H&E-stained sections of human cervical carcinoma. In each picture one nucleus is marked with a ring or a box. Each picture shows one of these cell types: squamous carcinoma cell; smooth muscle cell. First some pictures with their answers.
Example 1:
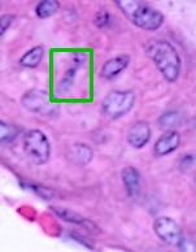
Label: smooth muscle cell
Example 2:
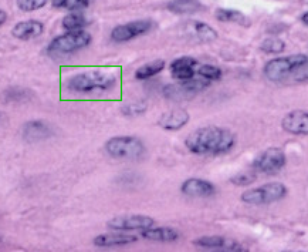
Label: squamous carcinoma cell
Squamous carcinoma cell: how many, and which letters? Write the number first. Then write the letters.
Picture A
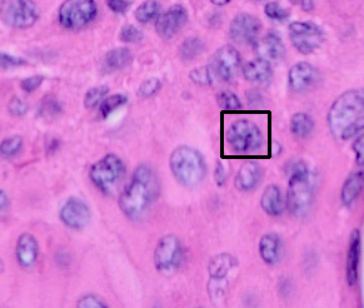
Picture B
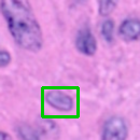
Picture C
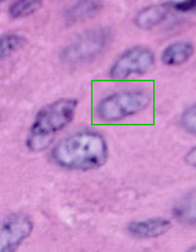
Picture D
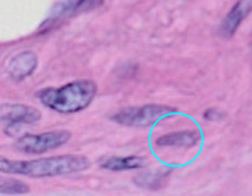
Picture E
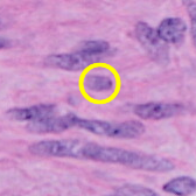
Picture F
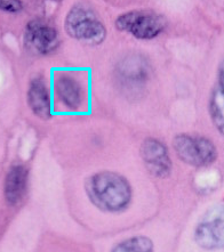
4: A, B, C, F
